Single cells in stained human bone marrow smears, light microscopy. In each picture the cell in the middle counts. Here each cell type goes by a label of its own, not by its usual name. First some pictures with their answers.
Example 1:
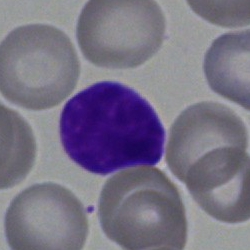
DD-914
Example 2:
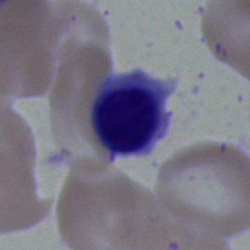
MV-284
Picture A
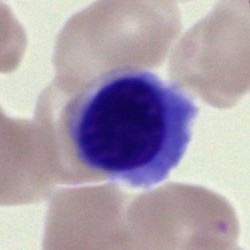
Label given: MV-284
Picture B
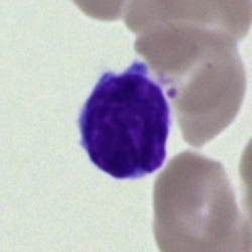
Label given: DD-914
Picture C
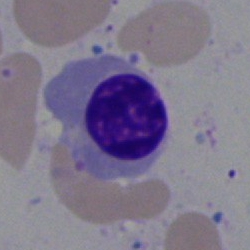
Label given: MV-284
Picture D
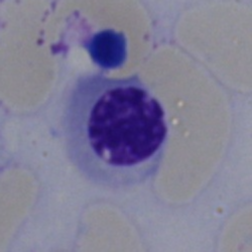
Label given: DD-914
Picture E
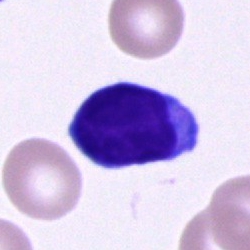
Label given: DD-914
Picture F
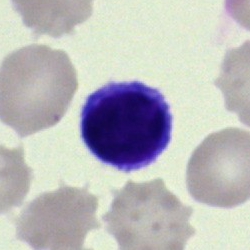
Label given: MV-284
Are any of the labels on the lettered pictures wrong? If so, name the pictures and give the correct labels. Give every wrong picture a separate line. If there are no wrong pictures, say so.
D: change DD-914 to MV-284
F: change MV-284 to DD-914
